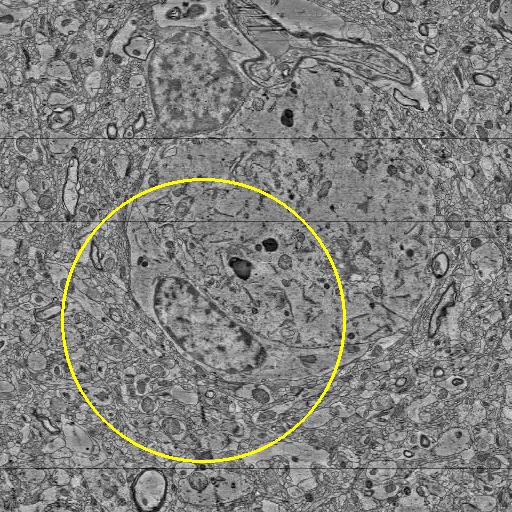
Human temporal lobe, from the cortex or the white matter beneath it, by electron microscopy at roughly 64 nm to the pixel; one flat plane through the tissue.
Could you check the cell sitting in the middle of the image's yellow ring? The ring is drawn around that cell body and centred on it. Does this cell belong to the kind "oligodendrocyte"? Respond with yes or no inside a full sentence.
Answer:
No, this cell in the middle of the yellow ring is one of a different kind.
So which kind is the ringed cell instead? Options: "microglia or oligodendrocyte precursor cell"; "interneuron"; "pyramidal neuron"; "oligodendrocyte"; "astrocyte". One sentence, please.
So the cell at the centre is a microglial cell or oligodendrocyte precursor cell.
